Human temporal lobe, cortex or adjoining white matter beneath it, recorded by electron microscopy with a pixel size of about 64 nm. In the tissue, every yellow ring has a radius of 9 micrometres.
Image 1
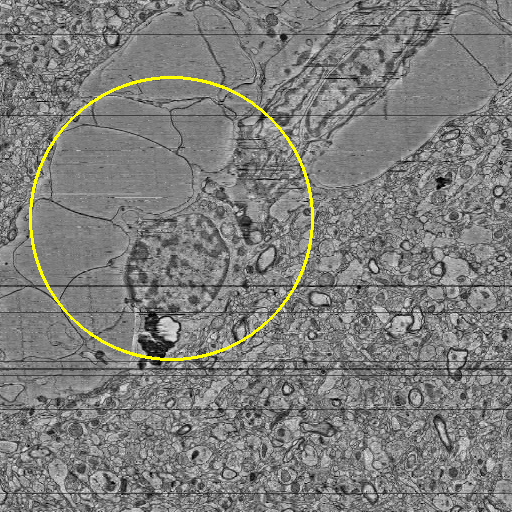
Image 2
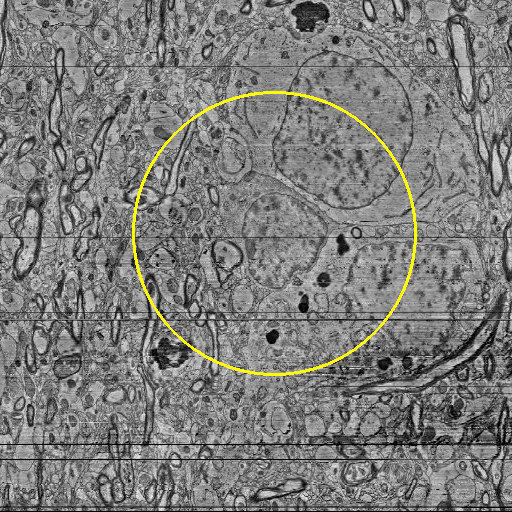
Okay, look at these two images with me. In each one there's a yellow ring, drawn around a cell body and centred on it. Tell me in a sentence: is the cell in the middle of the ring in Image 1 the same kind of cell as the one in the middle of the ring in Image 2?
Yes, they're the same kind of cell.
